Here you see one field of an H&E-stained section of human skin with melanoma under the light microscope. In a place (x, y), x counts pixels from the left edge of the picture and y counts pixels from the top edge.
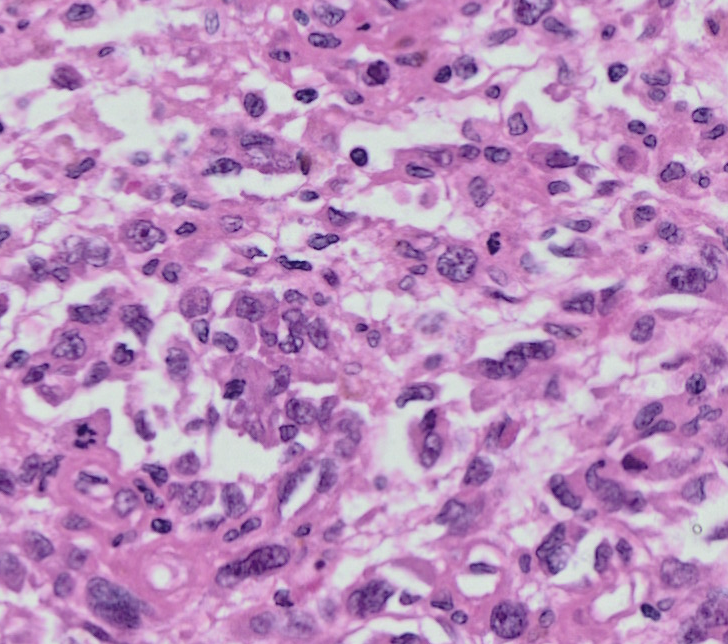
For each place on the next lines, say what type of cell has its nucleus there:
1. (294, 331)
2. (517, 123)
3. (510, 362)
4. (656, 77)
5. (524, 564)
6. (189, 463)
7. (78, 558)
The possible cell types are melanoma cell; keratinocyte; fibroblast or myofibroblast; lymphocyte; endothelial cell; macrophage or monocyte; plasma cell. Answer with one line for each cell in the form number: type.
1: melanoma cell
2: macrophage or monocyte
3: melanoma cell
4: macrophage or monocyte
5: macrophage or monocyte
6: melanoma cell
7: melanoma cell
